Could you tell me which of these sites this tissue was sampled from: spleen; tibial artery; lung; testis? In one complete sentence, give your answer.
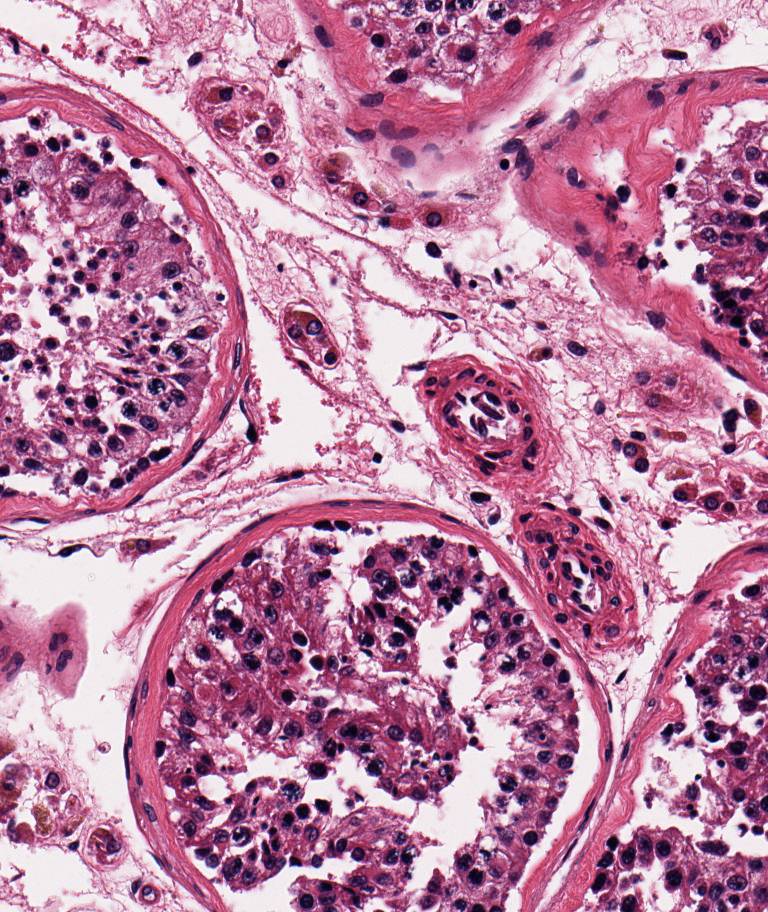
Taken from the testis, this tissue forms the section.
